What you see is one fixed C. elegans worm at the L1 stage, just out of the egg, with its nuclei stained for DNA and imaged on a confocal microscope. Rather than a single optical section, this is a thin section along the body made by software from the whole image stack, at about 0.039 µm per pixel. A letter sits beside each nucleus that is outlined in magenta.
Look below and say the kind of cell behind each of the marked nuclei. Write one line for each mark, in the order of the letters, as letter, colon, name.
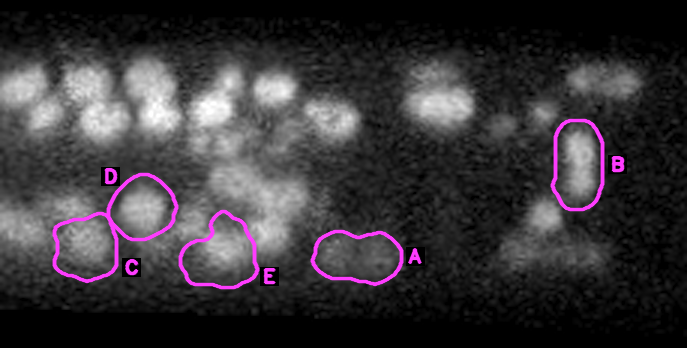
A: seam cell
B: valve cell of the gut
C: neuron
D: neuron
E: neuron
